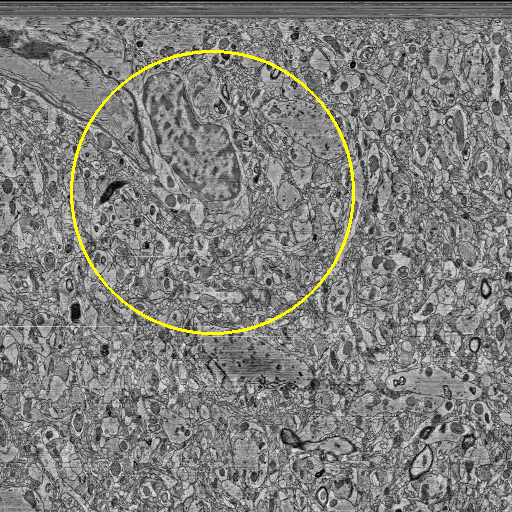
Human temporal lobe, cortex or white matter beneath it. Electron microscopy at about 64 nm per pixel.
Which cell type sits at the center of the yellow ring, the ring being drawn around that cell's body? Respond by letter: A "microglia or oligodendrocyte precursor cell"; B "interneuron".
A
